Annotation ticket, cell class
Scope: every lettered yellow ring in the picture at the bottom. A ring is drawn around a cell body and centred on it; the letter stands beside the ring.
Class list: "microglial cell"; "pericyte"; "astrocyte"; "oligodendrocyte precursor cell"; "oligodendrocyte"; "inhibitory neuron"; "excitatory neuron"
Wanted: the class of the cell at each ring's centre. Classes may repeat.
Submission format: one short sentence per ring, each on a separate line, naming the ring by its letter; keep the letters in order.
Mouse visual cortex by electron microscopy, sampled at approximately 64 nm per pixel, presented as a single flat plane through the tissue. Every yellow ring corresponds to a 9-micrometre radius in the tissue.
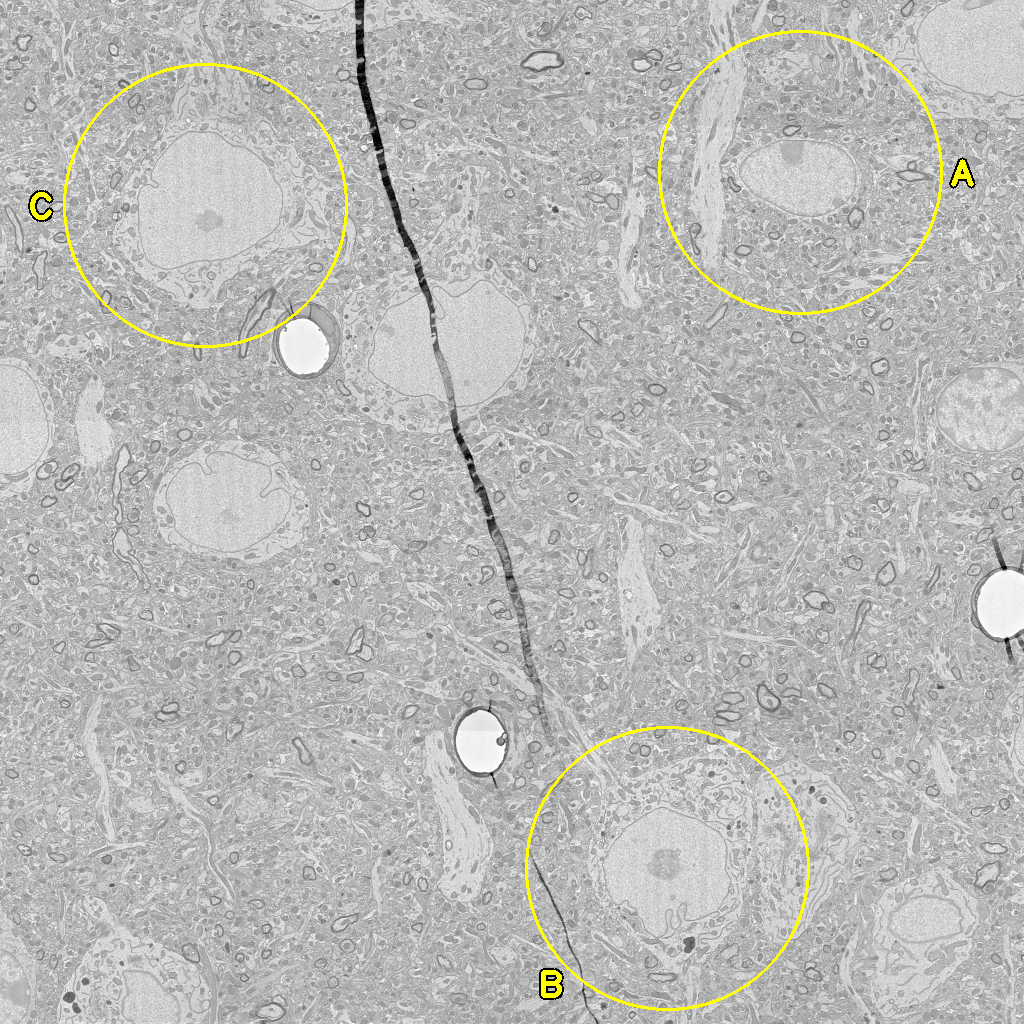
The centre of ring A is occupied by an astrocyte.
The centre of ring B is occupied by an inhibitory neuron.
The centre of ring C is occupied by an excitatory neuron.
